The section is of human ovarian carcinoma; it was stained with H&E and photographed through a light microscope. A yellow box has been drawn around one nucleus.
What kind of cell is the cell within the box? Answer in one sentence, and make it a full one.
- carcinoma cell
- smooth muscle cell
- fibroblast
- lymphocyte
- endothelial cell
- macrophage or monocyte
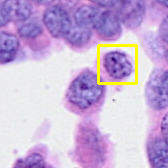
Assigned to a cell type, the cell within the box is a macrophage or monocyte.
